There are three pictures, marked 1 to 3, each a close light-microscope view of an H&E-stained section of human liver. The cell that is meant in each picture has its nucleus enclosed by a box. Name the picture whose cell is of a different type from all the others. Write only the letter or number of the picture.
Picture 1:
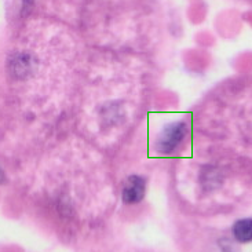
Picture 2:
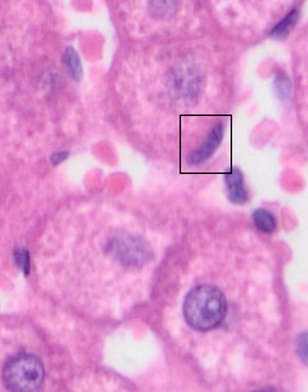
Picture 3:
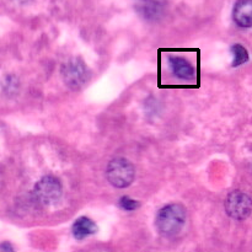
1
